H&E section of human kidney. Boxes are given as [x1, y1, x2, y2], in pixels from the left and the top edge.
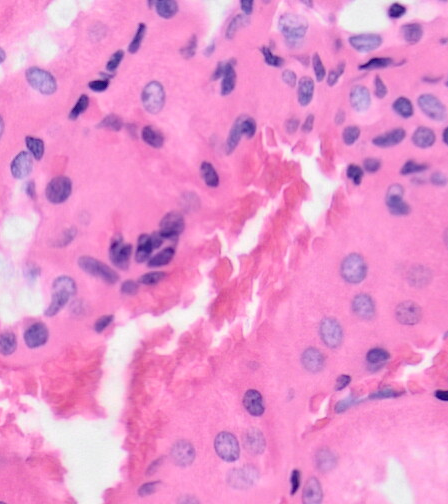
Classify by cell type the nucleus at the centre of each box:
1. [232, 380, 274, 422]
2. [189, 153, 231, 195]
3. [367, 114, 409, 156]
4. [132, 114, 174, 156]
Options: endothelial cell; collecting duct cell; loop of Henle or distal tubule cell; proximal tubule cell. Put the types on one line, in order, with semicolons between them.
proximal tubule cell; proximal tubule cell; collecting duct cell; proximal tubule cell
